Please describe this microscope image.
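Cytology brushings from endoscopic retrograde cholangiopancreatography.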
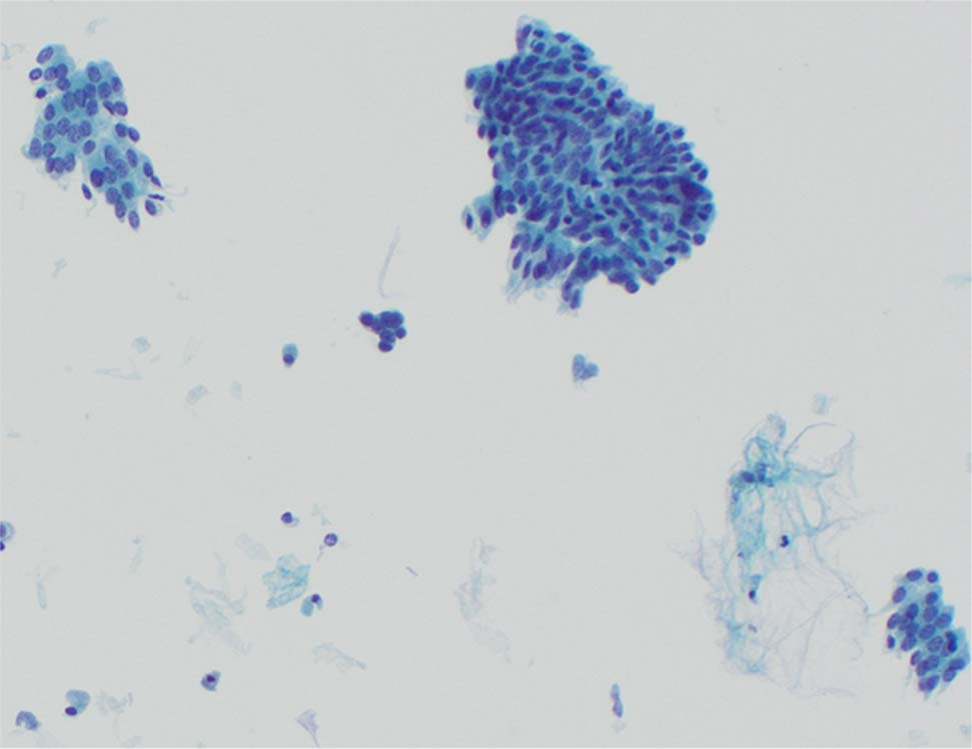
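The nuclei are dark blue, oval and much alike in size and shape, with smooth outlines. They sit in pale blue-green cytoplasm. In the largest cluster the cells are more crowded, and the nuclei overlap and run in a loosely parallel, streaming arrangement. Around the clusters lie a few small groups and single cells, with faint wispy strands of pale material in the background.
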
